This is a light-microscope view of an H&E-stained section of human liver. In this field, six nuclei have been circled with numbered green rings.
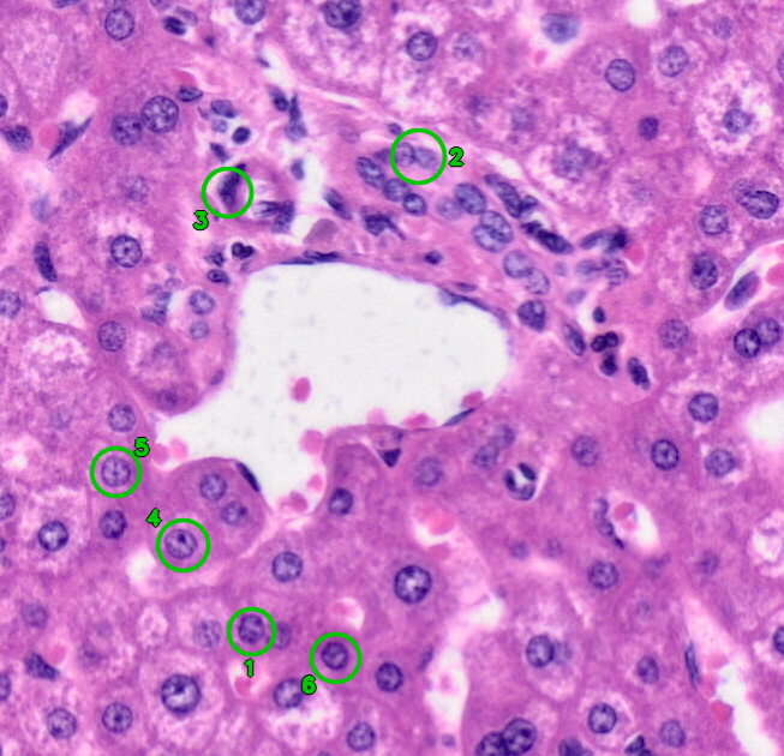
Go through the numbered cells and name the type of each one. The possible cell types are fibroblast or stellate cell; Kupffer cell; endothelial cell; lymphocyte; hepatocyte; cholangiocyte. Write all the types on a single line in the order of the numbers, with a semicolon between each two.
hepatocyte; cholangiocyte; fibroblast or stellate cell; hepatocyte; hepatocyte; hepatocyte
